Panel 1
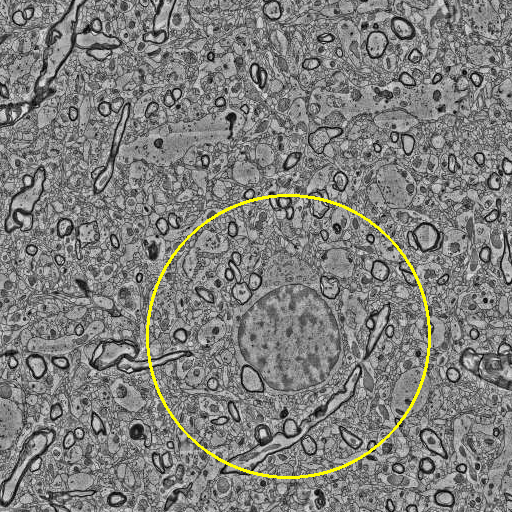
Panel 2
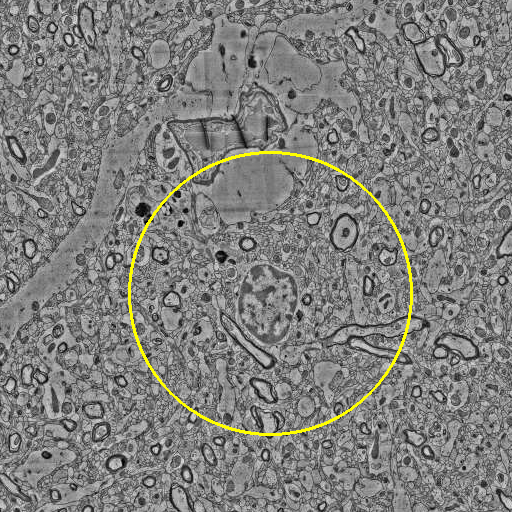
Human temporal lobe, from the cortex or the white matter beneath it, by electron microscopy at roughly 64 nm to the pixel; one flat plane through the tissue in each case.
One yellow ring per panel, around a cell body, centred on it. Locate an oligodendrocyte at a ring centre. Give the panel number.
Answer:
1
